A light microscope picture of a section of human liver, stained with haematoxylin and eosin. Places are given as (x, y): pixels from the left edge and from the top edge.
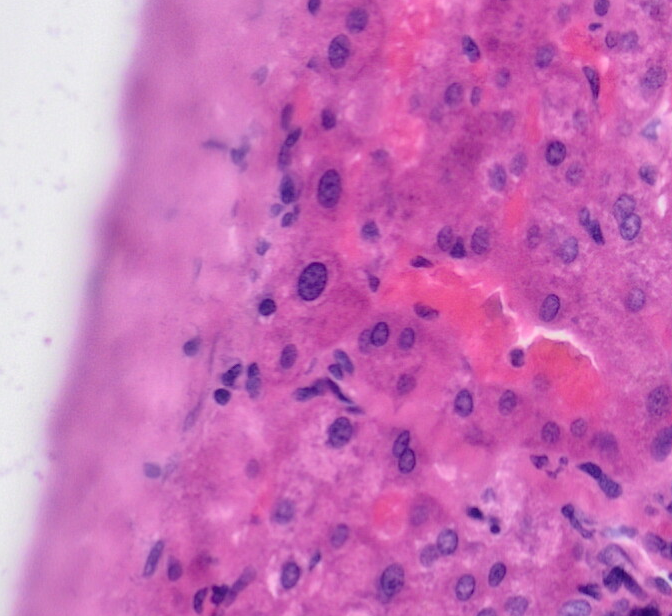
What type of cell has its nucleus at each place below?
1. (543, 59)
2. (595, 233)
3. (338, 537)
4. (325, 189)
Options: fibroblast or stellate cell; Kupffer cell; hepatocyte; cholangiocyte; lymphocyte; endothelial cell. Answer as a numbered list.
1. hepatocyte
2. fibroblast or stellate cell
3. hepatocyte
4. hepatocyte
